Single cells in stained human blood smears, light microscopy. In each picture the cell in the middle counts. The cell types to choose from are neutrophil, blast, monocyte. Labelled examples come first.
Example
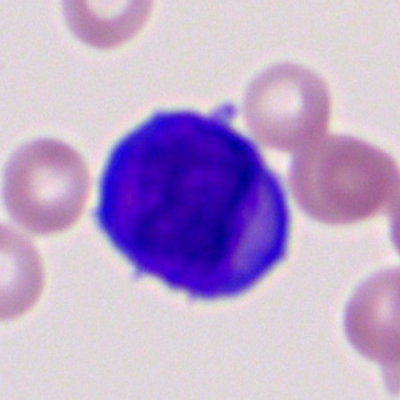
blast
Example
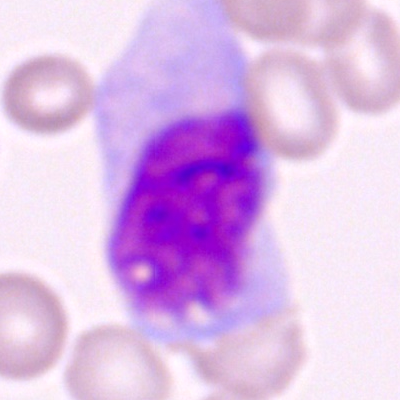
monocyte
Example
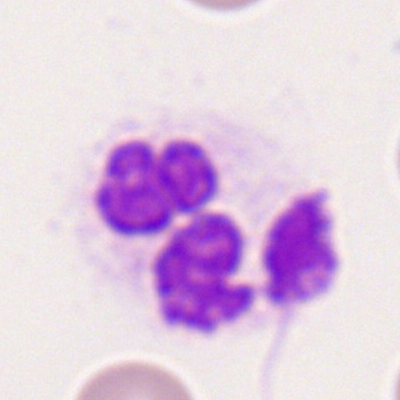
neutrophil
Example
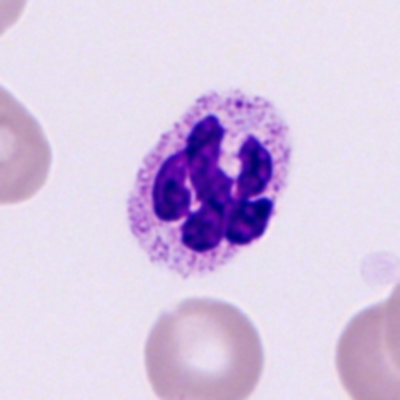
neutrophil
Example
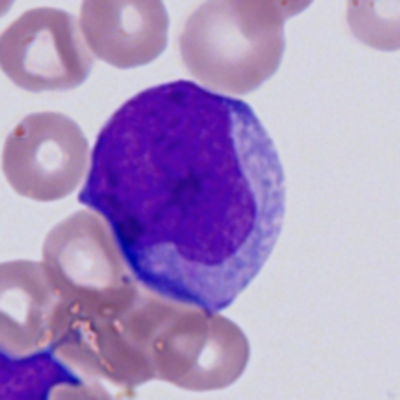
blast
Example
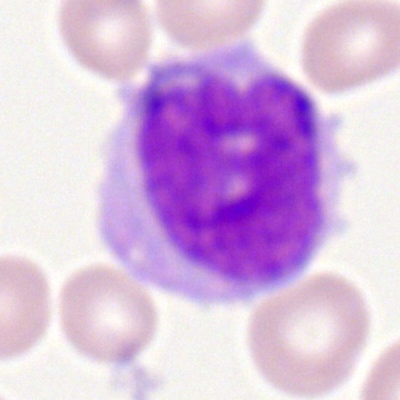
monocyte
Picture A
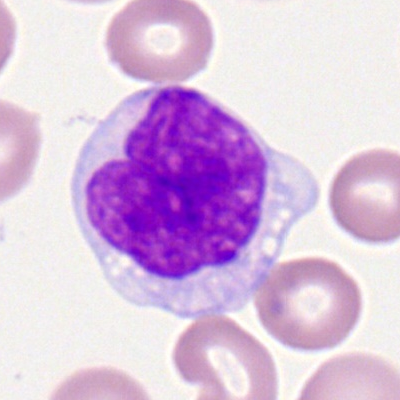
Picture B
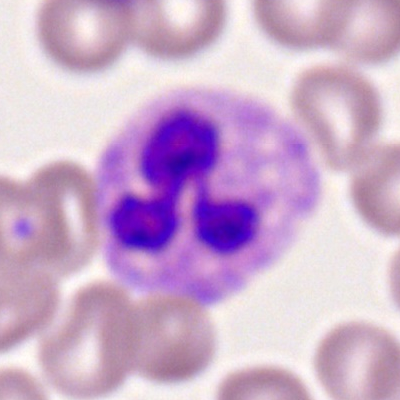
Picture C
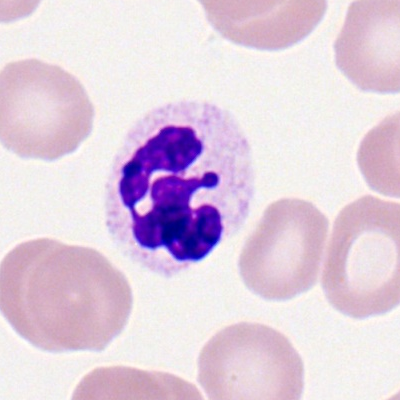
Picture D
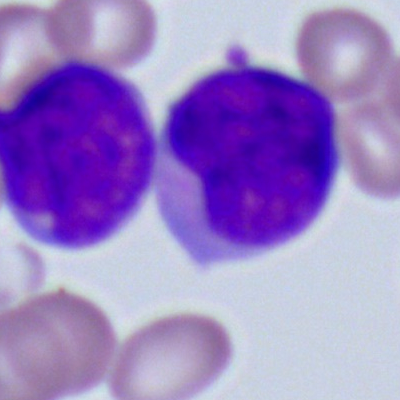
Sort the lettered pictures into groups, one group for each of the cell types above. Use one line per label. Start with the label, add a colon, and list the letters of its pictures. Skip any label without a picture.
neutrophil: B, C
blast: D
monocyte: A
